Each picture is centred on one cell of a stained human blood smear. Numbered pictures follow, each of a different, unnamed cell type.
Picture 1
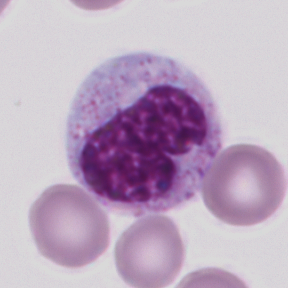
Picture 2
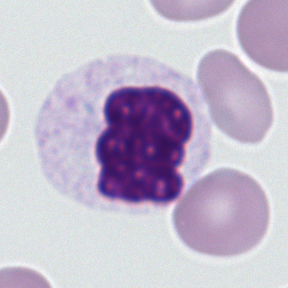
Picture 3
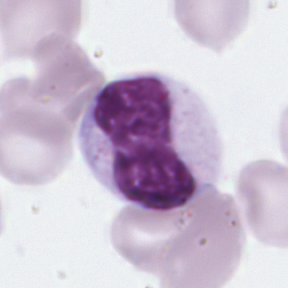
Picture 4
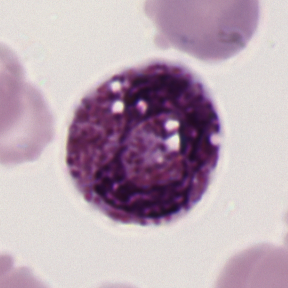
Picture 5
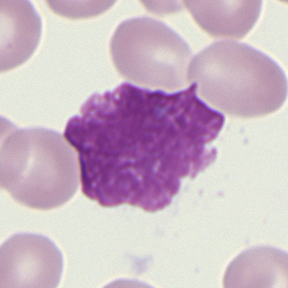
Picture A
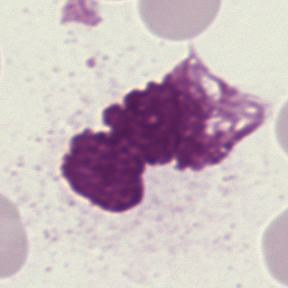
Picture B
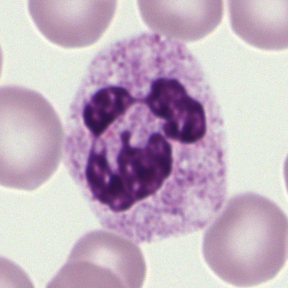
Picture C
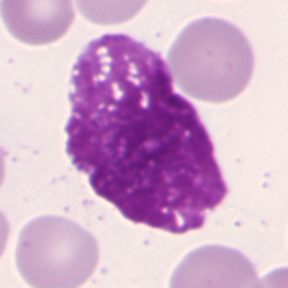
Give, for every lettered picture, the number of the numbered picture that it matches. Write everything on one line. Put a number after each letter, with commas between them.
A 5, B 2, C 5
